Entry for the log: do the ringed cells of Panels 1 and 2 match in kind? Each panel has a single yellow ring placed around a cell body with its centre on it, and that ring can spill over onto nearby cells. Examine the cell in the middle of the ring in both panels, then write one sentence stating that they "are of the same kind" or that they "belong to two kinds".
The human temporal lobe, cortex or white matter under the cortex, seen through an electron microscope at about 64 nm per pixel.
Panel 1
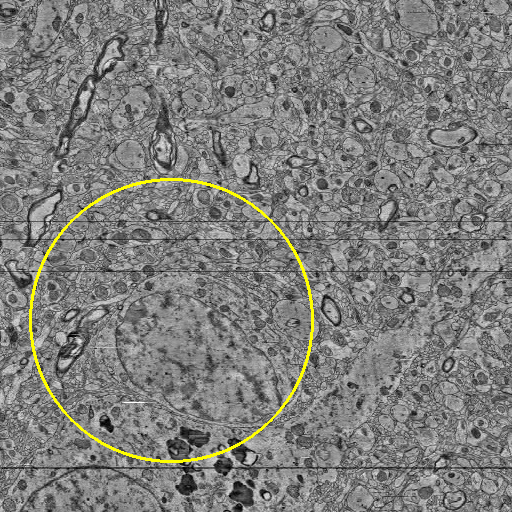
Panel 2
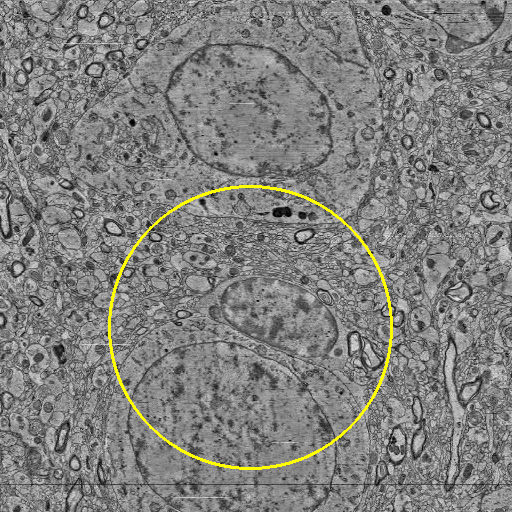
The centre cell of Panel 1's ring and that of Panel 2's ring belong to two kinds.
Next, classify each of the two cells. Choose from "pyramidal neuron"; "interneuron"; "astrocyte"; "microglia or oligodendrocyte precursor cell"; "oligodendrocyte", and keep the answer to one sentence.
In the first picture it is an interneuron; in the second it is an oligodendrocyte.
